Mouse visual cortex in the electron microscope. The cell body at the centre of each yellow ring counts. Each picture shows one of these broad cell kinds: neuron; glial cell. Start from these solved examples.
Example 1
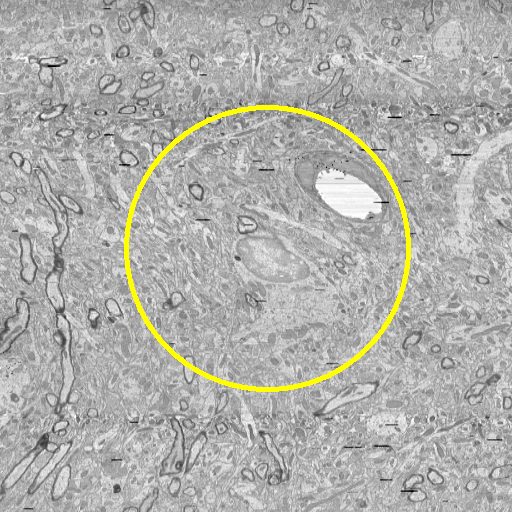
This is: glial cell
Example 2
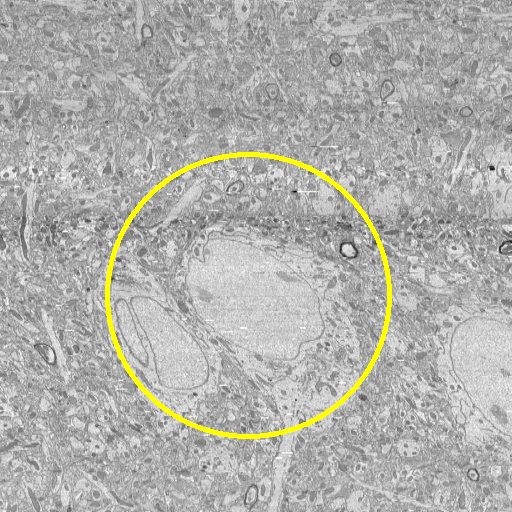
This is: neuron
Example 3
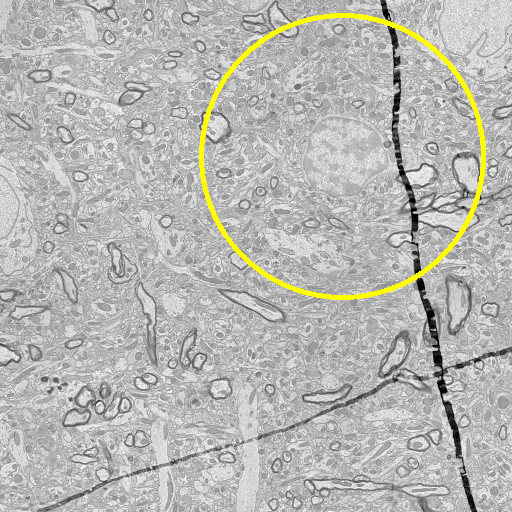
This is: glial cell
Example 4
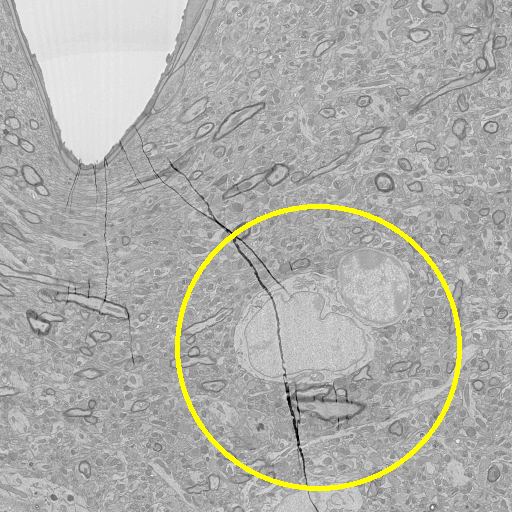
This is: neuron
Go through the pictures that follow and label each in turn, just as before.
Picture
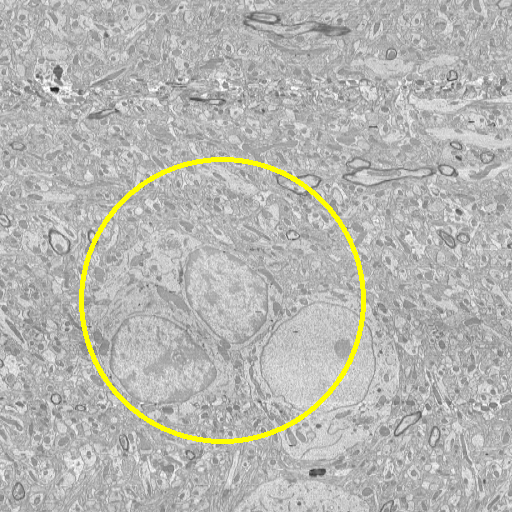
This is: glial cell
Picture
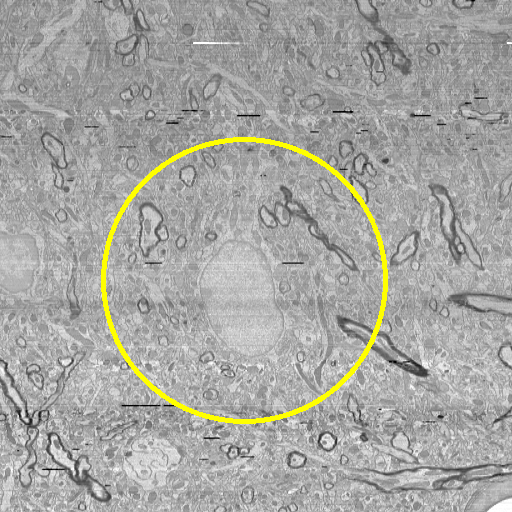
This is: glial cell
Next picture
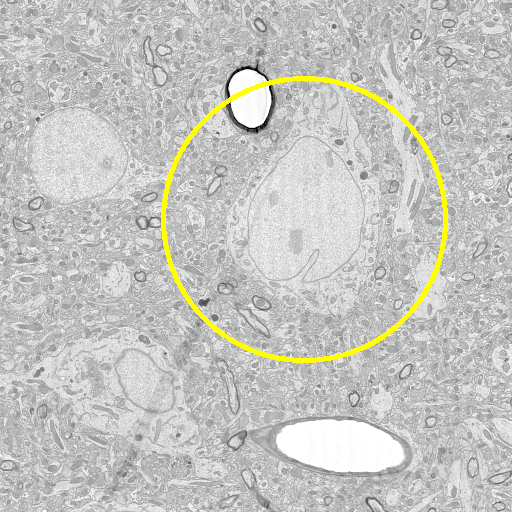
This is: neuron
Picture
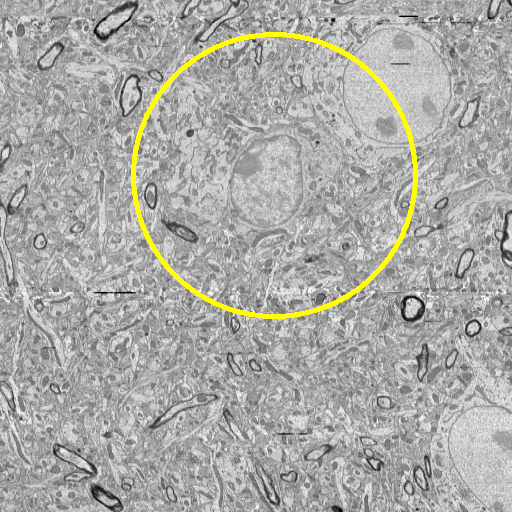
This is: glial cell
